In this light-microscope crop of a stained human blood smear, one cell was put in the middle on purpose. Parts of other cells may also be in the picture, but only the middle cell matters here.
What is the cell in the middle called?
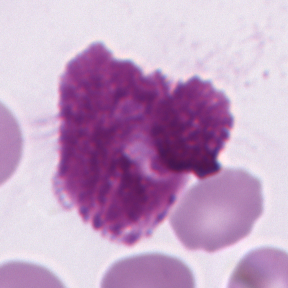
smudge cell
